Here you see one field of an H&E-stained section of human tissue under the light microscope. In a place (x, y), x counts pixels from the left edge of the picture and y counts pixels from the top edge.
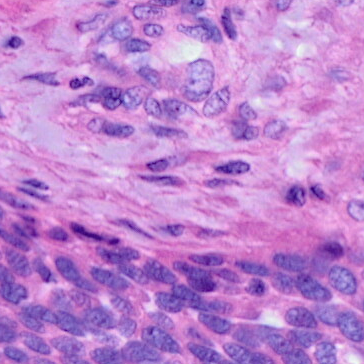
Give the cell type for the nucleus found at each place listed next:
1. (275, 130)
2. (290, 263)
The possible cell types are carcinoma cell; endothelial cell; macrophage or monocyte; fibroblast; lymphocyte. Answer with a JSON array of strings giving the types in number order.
["fibroblast", "carcinoma cell"]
